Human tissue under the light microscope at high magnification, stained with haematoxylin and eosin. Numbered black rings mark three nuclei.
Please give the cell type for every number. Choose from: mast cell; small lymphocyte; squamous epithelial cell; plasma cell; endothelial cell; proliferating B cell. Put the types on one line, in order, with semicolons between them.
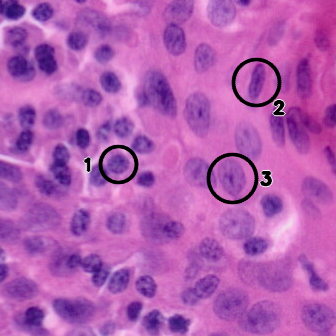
plasma cell; squamous epithelial cell; squamous epithelial cell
